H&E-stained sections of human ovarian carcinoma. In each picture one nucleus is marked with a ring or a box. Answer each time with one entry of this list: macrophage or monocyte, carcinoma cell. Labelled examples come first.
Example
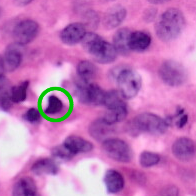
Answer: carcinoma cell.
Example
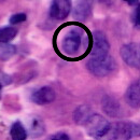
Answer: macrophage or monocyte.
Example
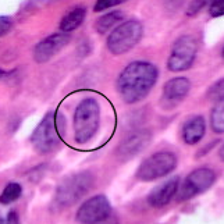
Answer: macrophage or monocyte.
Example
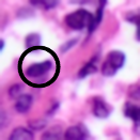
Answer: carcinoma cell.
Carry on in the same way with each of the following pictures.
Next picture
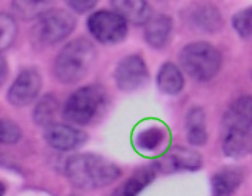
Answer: carcinoma cell.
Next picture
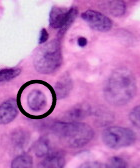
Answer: macrophage or monocyte.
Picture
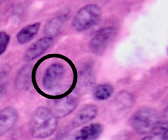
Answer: macrophage or monocyte.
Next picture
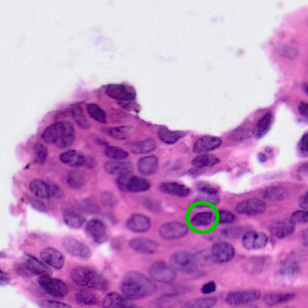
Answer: carcinoma cell.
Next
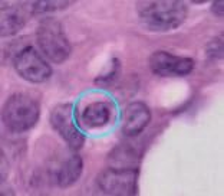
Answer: macrophage or monocyte.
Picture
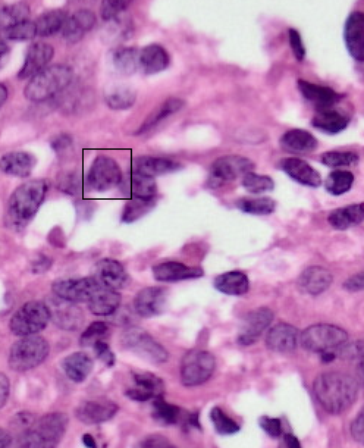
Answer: carcinoma cell.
